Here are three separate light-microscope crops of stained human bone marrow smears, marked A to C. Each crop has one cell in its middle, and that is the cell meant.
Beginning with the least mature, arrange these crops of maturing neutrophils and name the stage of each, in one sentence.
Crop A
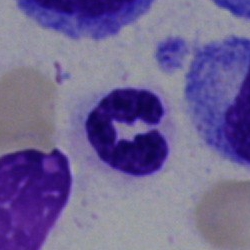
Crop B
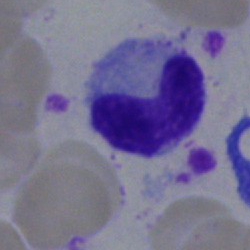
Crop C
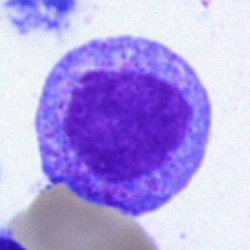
Moving up in maturity, the order goes crop C (a promyelocyte), crop B (a band neutrophil) and crop A (a segmented neutrophil).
